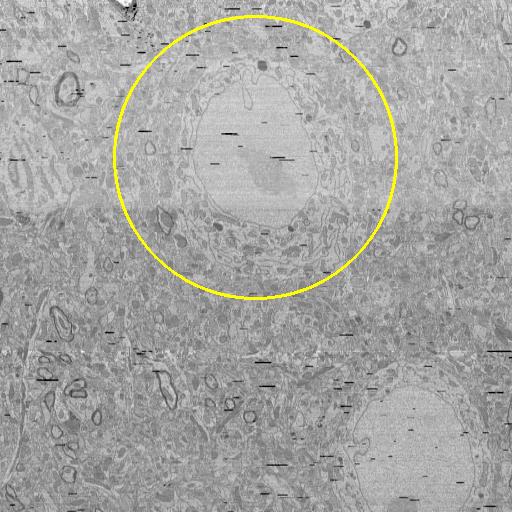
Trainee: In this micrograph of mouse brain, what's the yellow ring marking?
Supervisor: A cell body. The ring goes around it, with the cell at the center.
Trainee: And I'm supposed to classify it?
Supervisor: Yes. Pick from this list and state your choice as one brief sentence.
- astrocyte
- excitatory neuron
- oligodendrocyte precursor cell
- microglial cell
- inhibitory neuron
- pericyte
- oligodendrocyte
The cell at the ring's center is an inhibitory neuron.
